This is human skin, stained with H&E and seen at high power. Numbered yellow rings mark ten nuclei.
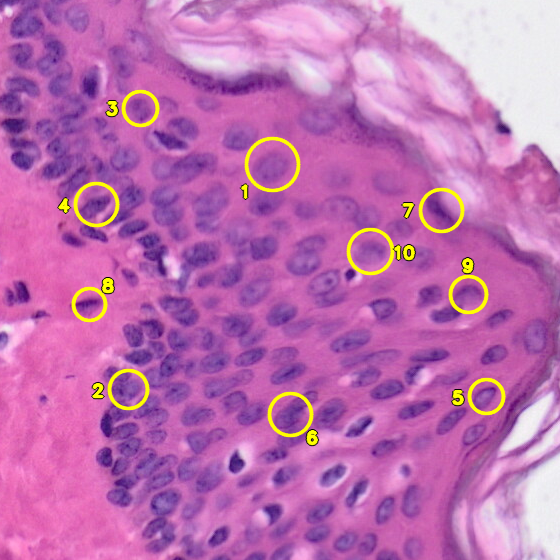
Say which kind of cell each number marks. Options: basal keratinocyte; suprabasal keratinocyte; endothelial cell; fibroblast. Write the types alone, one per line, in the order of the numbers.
suprabasal keratinocyte
basal keratinocyte
suprabasal keratinocyte
basal keratinocyte
suprabasal keratinocyte
basal keratinocyte
suprabasal keratinocyte
fibroblast
suprabasal keratinocyte
suprabasal keratinocyte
